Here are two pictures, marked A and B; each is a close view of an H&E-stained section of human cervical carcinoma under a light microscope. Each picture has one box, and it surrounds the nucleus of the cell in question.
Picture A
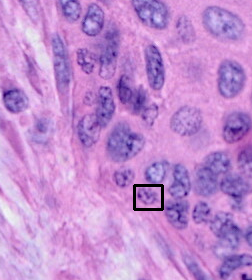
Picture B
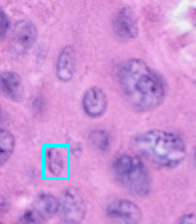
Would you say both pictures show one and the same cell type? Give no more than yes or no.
yes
